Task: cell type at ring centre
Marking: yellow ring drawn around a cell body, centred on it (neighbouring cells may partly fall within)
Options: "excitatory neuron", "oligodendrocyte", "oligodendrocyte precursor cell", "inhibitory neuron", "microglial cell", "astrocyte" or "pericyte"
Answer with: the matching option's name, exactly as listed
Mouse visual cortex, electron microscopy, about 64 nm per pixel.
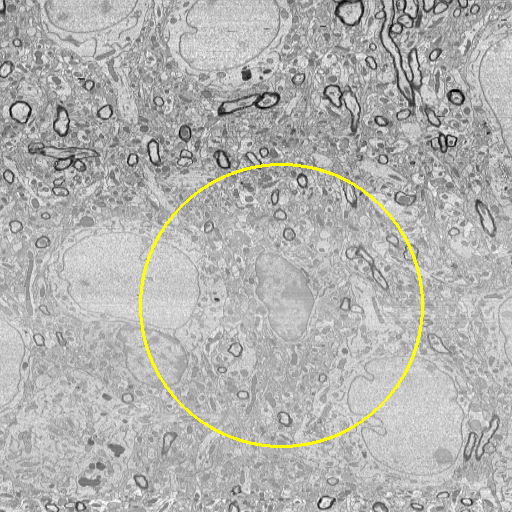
microglial cell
